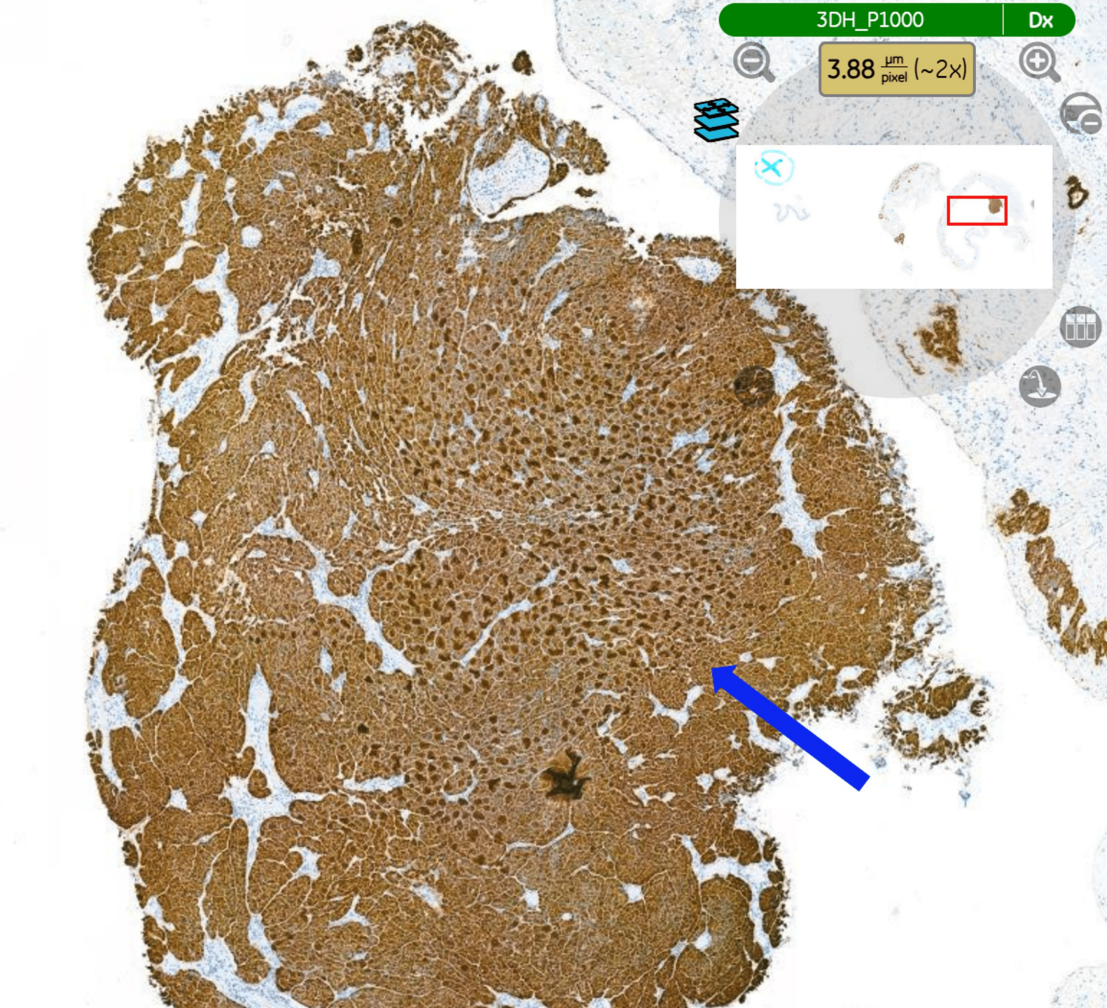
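At low power, a large, rounded, lobulated mass of tumour cells is seen, with thin strands of pale blue, loose stroma dividing it. The cells lie in crowded sheets and irregular nests and are stained brown almost throughout. Toward the centre, many small, darker brown rounded dots stand out against the lighter brown background.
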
